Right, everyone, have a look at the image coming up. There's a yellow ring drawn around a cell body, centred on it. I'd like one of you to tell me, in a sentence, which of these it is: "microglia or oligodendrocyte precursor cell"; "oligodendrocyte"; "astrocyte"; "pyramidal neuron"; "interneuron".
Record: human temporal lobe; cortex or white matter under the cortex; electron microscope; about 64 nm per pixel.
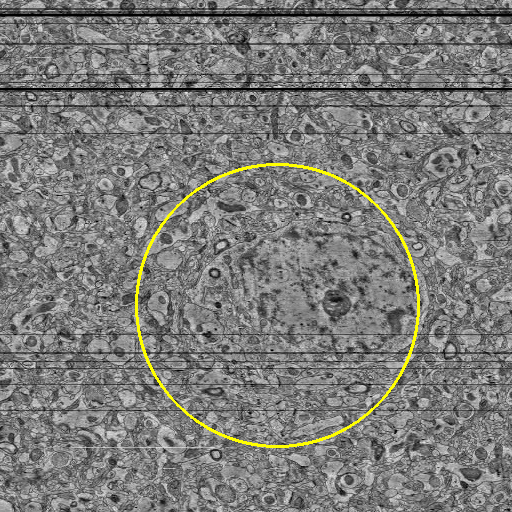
The yellow ring sits on an interneuron.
